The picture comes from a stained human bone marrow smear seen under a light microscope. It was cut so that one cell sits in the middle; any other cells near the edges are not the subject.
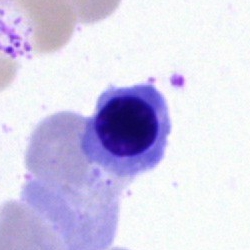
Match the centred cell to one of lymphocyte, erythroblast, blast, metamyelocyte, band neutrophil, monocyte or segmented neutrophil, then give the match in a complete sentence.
Occupying the centre of the crop is an erythroblast.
